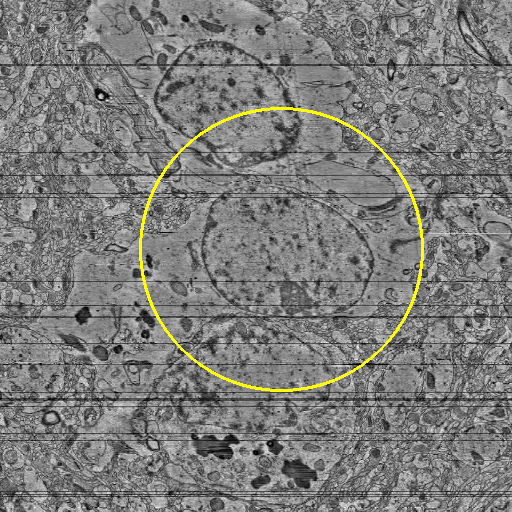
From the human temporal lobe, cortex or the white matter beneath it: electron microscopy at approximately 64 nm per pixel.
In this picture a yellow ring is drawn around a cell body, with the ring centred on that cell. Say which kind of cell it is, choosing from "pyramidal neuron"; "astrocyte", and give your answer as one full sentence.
Here it is an astrocyte that sits at the centre of the drawn yellow ring.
